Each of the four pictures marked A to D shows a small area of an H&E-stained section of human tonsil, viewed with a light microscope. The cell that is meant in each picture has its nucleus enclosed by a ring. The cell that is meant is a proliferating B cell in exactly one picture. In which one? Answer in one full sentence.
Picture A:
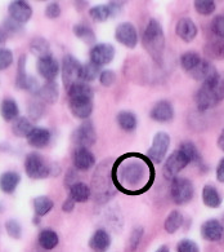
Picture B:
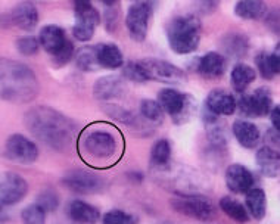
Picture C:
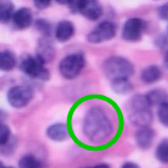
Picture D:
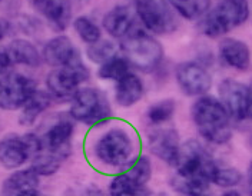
The cell in picture D is the proliferating B cell.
